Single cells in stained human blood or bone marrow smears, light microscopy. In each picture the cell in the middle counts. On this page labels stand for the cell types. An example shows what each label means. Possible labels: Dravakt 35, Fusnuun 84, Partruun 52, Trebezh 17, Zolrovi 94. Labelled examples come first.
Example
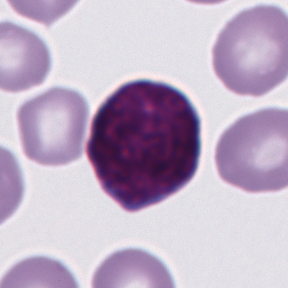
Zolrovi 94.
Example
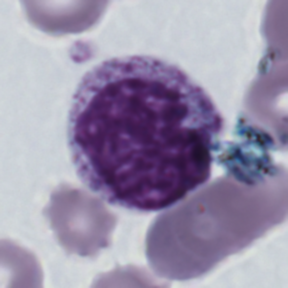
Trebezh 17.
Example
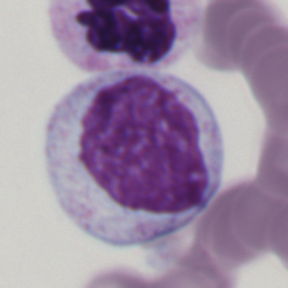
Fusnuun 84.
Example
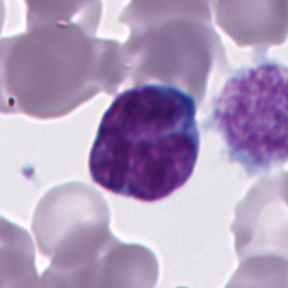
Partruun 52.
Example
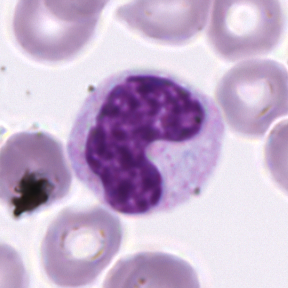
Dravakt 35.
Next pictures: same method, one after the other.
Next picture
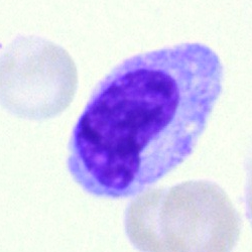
Trebezh 17.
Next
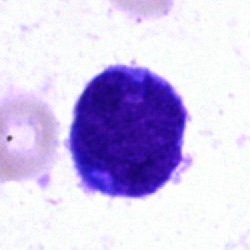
Zolrovi 94.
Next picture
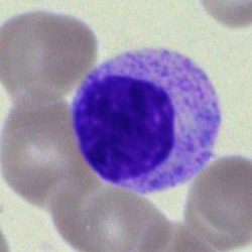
Fusnuun 84.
